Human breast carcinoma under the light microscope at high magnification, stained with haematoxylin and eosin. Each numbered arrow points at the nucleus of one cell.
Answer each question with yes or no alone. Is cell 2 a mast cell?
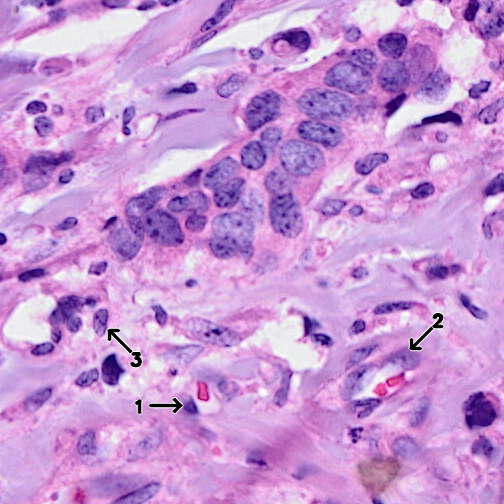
no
